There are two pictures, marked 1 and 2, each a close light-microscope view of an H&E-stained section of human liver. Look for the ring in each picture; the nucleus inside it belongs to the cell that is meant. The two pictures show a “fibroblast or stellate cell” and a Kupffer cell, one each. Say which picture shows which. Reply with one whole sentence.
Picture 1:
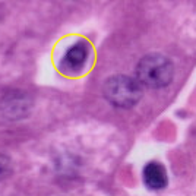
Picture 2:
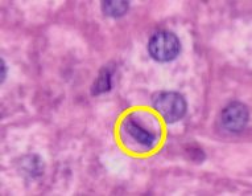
Picture 1 is of a Kupffer cell, and picture 2 is of a “fibroblast or stellate cell”.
